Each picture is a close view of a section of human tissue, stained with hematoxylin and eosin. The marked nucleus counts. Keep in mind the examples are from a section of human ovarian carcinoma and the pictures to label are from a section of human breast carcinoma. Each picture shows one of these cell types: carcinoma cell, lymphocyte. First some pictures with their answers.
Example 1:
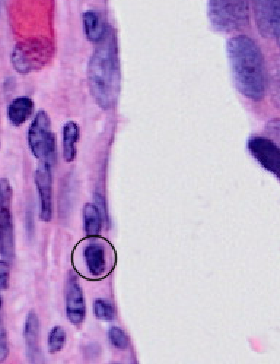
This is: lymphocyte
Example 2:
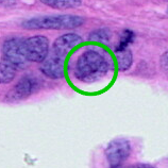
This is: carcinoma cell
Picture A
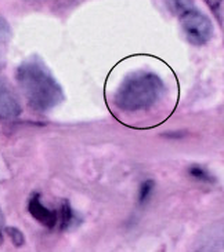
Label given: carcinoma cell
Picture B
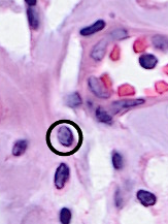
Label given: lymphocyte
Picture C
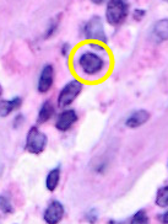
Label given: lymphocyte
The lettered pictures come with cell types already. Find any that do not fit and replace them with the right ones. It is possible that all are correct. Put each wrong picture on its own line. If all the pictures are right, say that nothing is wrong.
Nothing to fix; every label fits.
